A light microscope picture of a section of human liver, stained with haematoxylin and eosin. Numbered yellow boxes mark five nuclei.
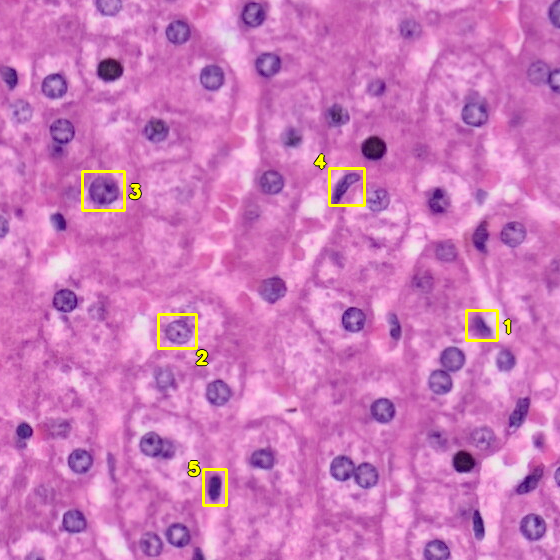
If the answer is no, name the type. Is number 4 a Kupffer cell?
Yes.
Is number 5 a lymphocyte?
Yes.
